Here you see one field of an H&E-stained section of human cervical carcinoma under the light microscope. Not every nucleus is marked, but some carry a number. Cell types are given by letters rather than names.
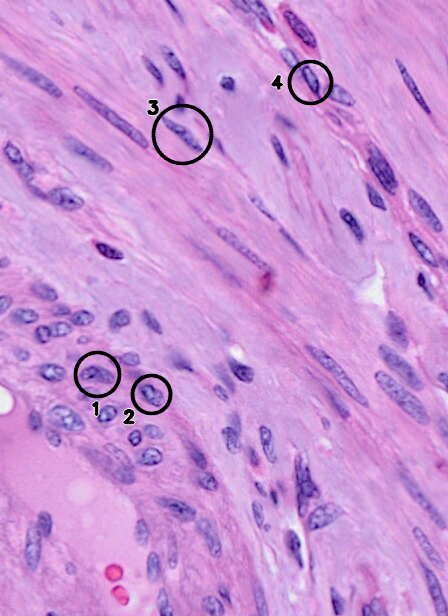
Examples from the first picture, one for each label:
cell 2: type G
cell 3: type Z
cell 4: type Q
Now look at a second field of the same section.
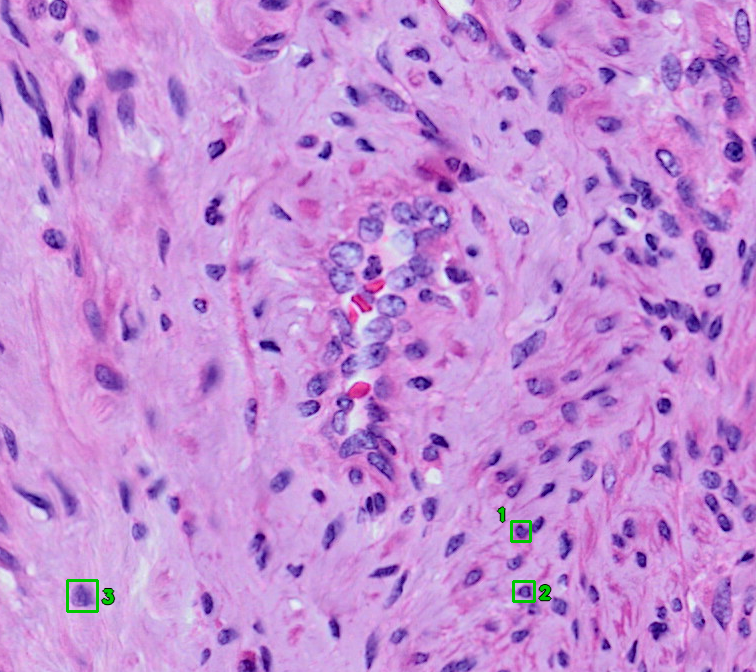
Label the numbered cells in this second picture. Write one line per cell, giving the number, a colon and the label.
1: type G
2: type G
3: type Z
